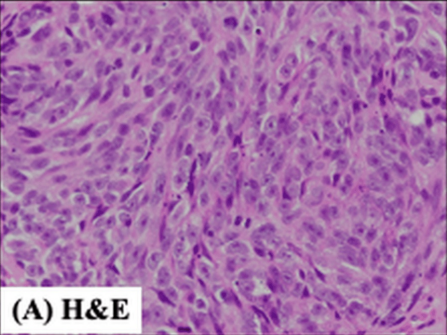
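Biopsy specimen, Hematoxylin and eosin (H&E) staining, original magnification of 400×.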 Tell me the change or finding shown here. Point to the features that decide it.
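Sheets of undifferentiated tumor cells. Cells lie in continuous solid sheets without glands or other organized structures.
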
